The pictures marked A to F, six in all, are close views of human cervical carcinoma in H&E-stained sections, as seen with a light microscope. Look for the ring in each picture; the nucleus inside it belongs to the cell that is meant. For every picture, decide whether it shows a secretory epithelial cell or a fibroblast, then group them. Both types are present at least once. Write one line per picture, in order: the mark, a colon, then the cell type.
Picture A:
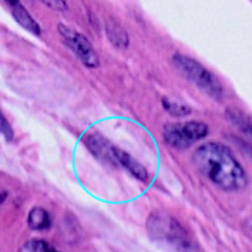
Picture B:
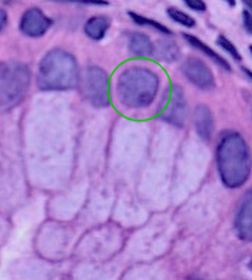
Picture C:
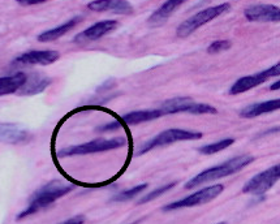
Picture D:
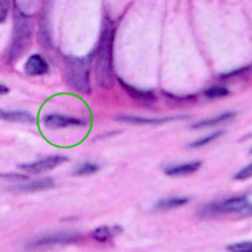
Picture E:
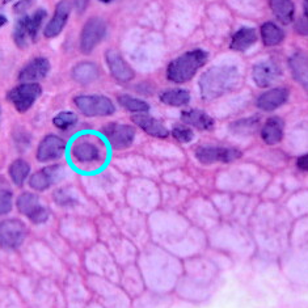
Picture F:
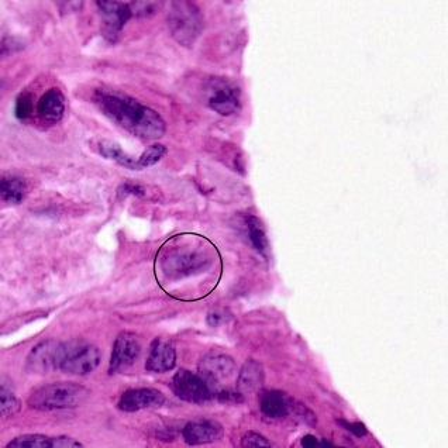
A: fibroblast
B: secretory epithelial cell
C: fibroblast
D: fibroblast
E: secretory epithelial cell
F: fibroblast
